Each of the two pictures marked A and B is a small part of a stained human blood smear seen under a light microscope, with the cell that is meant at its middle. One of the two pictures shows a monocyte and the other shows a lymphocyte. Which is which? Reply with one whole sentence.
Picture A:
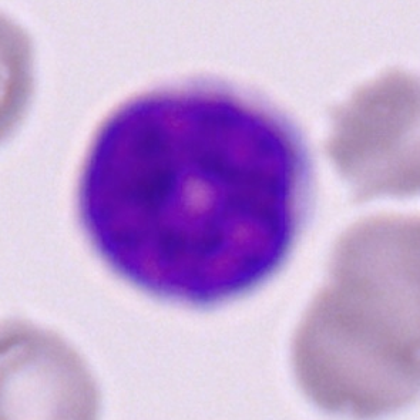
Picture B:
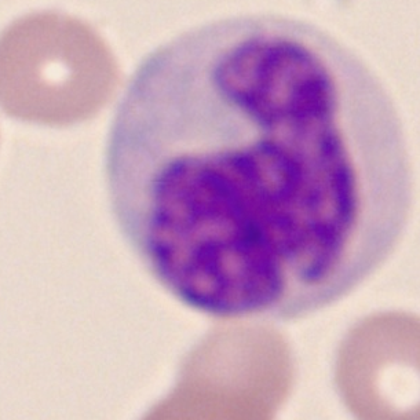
Picture B shows a monocyte, while picture A shows a lymphocyte.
